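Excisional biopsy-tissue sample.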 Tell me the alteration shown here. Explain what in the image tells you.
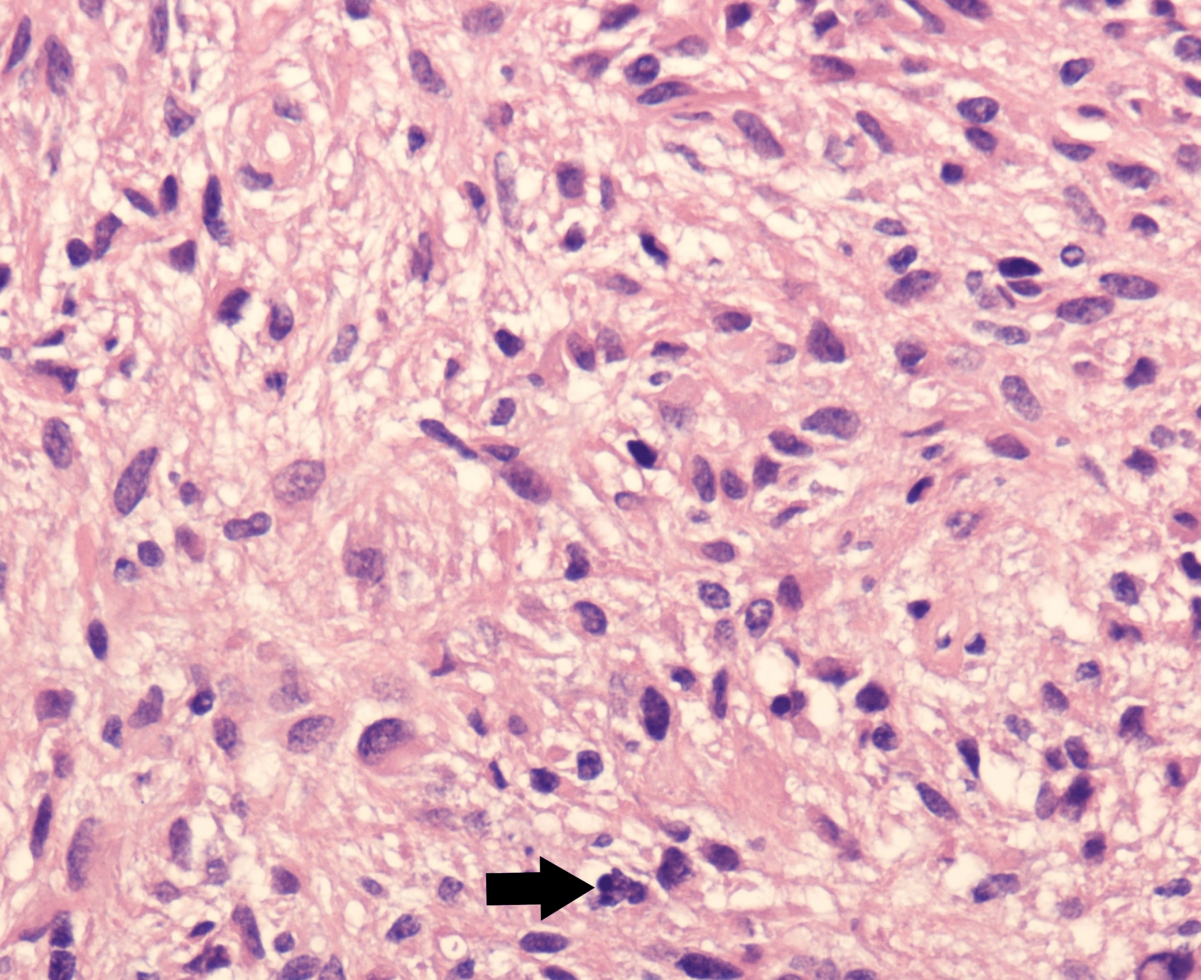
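The cells vary widely in shape, from spindle-shaped to plump and rounded. Cell and nuclear sizes differ markedly across the field. So: pleomorphism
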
